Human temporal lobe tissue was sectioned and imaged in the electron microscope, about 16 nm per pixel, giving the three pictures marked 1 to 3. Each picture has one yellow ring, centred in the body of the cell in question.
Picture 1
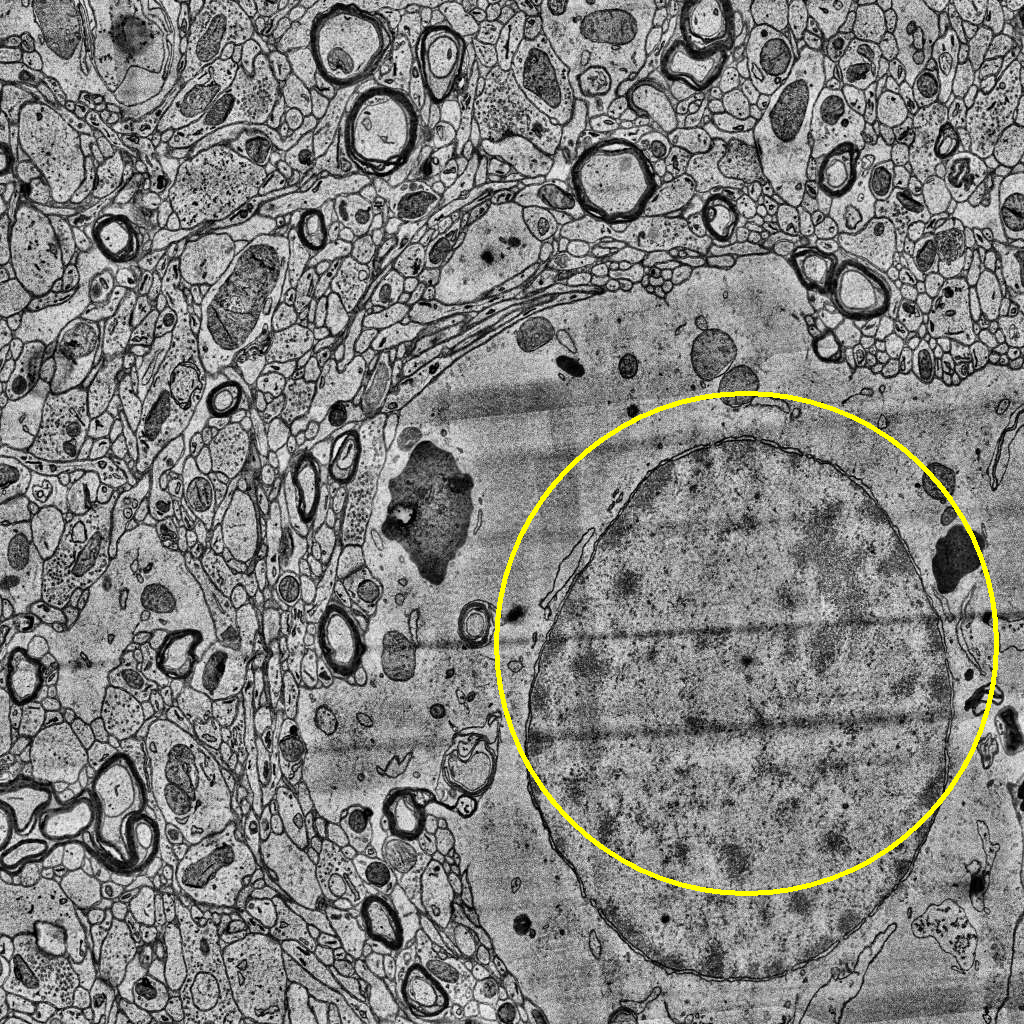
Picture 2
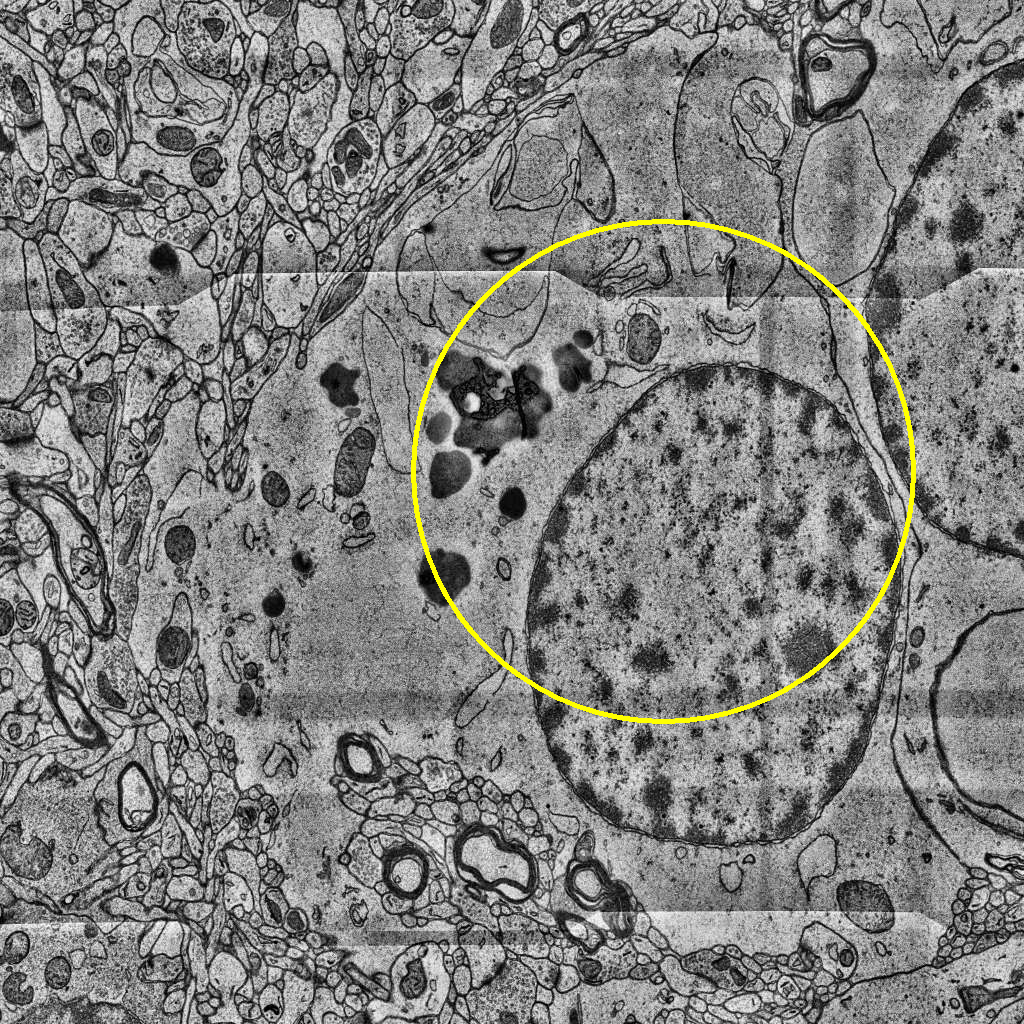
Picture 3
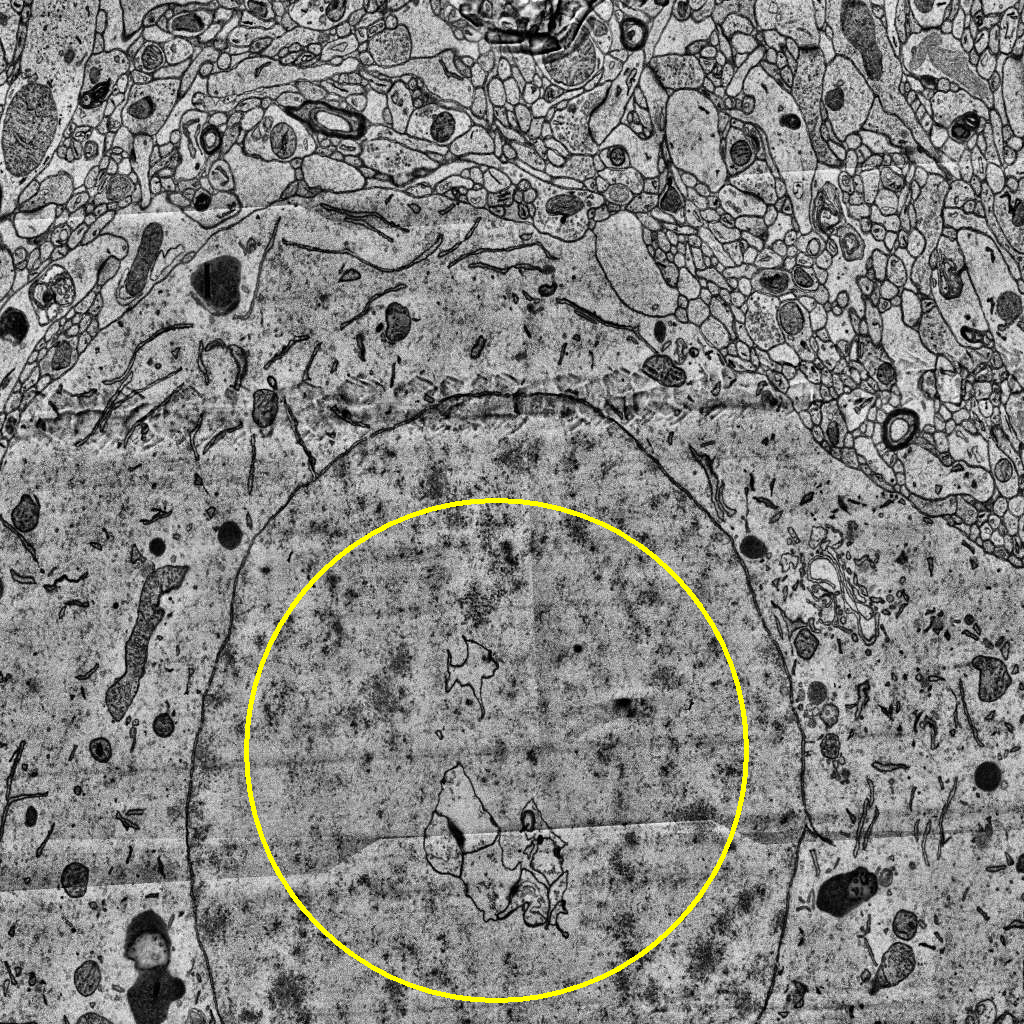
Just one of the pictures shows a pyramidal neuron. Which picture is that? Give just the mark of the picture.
3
